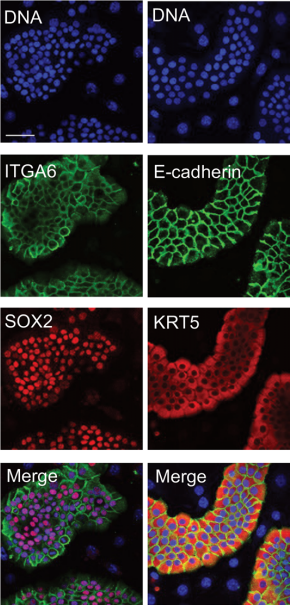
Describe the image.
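The cells within each colony are small and polygonal and packed edge to edge, like cobblestones. The green stain lines the cell borders, outlining a regular honeycomb-like network. Round to oval nuclei in blue fill much of each cell. In one column the red stain lies in the nuclei; in the other it fills the cytoplasm. Outside the colonies lie scattered nuclei that lack the green and red stains.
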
